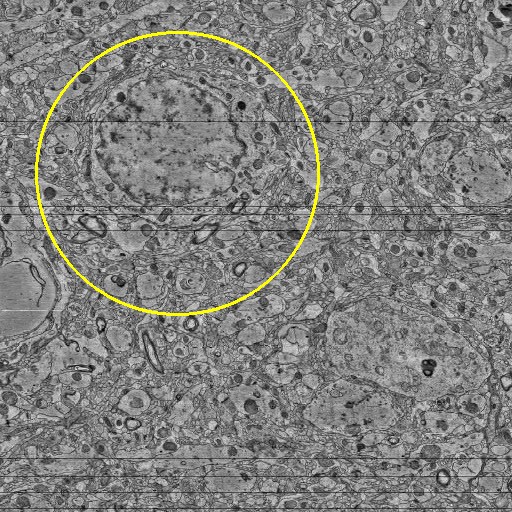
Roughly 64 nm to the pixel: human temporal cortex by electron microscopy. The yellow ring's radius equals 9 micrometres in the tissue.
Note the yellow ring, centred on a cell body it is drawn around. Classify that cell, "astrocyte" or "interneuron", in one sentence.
The cell the ring is centred on is an interneuron.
